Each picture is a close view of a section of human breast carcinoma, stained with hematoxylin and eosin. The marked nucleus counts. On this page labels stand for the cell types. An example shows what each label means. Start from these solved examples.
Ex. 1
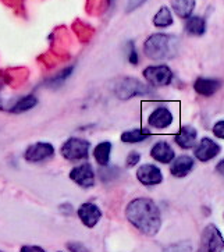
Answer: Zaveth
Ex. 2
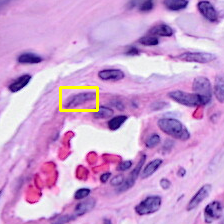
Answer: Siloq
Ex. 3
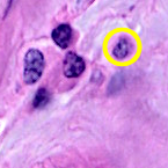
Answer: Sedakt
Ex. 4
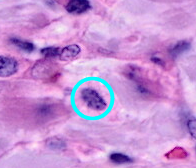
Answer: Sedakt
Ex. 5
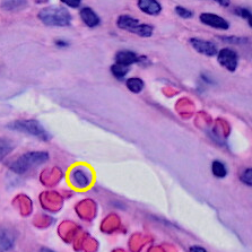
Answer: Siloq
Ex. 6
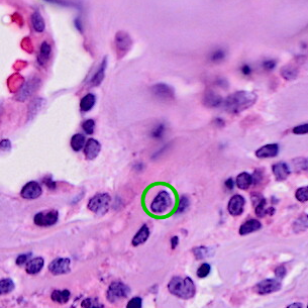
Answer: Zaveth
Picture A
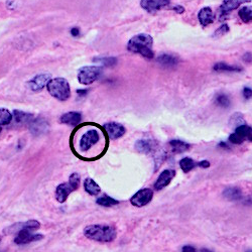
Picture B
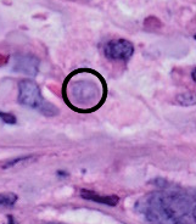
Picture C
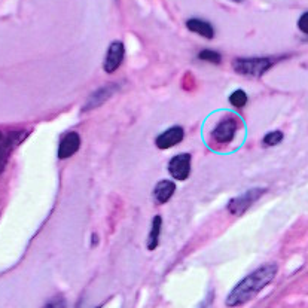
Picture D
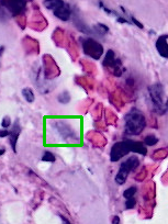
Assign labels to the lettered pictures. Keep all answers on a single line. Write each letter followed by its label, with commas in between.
A Zaveth, B Siloq, C Sedakt, D Siloq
